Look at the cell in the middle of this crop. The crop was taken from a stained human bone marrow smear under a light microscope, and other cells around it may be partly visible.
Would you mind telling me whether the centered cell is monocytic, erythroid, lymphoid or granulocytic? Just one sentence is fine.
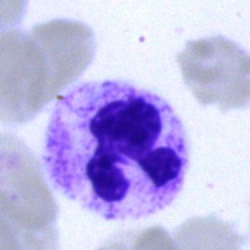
The middle cell of the crop arises from the granulocytic lineage.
